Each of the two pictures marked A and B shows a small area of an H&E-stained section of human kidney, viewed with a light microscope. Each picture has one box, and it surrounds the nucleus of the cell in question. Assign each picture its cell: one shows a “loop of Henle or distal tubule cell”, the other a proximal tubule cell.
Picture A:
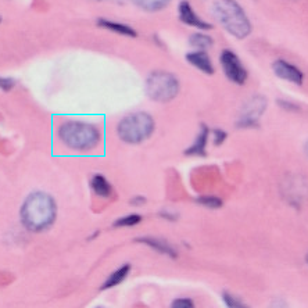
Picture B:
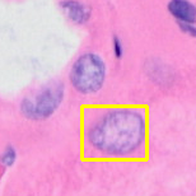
A: loop of Henle or distal tubule cell
B: proximal tubule cell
